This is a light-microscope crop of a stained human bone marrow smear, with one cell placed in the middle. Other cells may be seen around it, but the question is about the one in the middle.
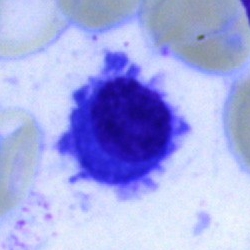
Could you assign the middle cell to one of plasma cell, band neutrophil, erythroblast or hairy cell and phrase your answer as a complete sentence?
Positioned in the middle of the crop is a plasma cell.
